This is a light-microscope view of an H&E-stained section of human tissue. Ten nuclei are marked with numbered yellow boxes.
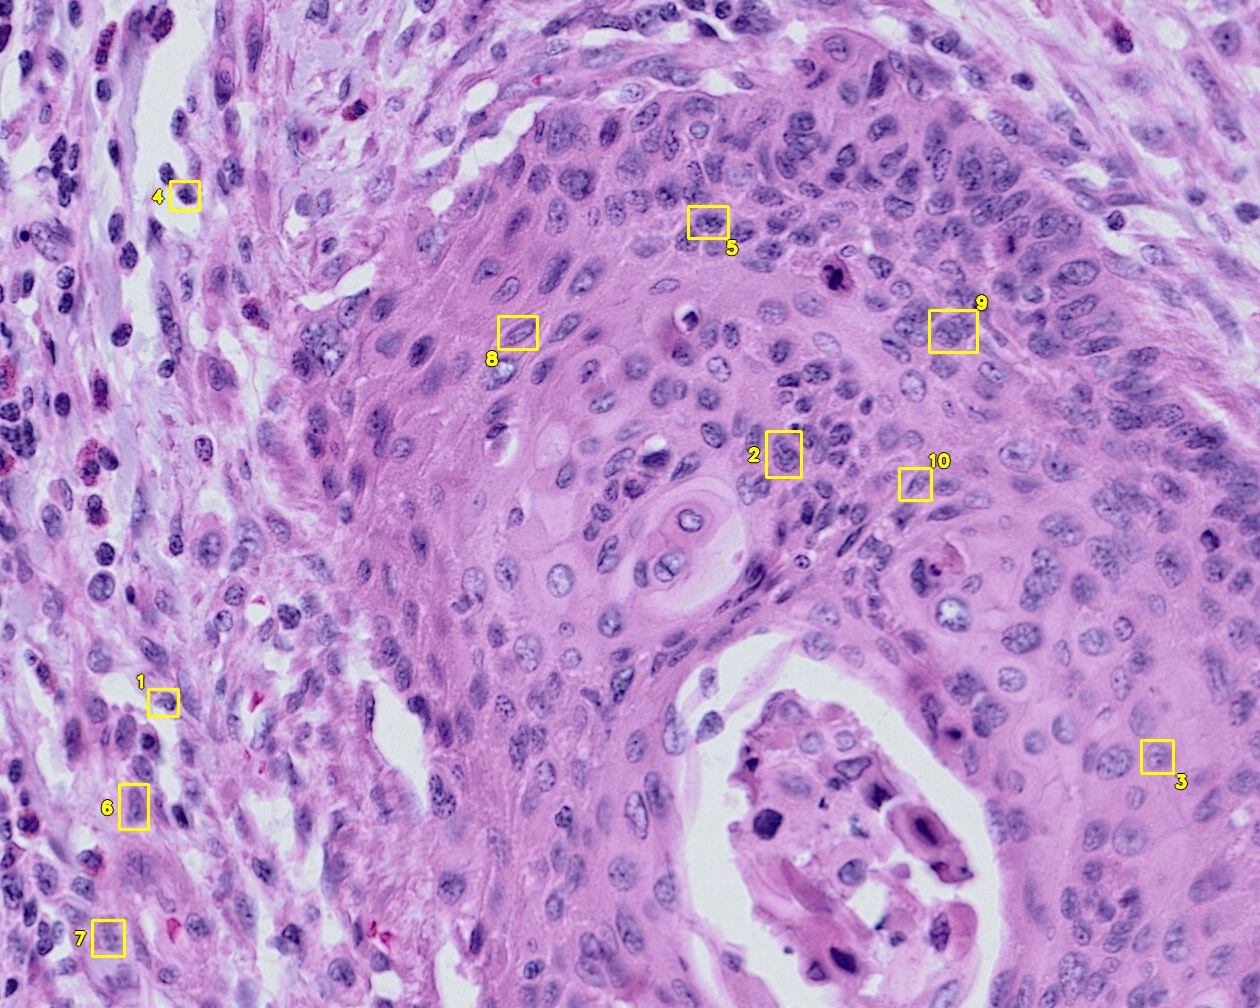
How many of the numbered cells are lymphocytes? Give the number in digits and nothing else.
2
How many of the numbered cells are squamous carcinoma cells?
6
